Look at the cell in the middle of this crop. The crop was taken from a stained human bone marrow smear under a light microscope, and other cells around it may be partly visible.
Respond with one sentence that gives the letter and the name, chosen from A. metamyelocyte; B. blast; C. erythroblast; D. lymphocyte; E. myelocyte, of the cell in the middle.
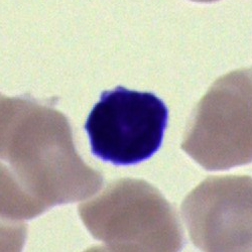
Option D stands as correct, the central cell being a lymphocyte.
